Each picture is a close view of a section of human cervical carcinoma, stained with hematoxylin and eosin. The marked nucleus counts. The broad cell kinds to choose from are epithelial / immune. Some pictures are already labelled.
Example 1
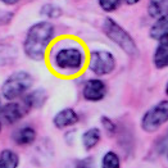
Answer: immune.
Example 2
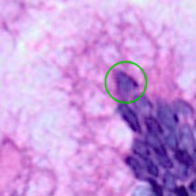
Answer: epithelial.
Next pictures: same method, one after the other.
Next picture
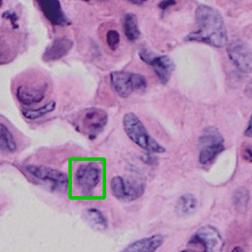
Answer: epithelial.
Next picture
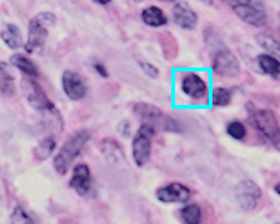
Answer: immune.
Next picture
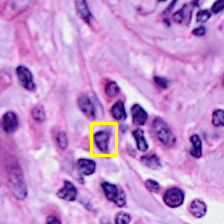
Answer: immune.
